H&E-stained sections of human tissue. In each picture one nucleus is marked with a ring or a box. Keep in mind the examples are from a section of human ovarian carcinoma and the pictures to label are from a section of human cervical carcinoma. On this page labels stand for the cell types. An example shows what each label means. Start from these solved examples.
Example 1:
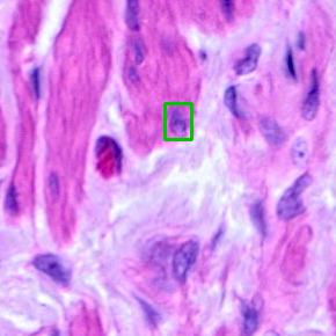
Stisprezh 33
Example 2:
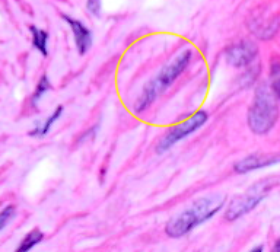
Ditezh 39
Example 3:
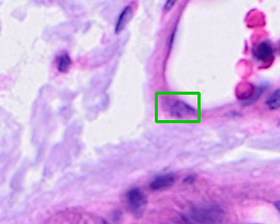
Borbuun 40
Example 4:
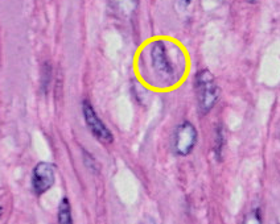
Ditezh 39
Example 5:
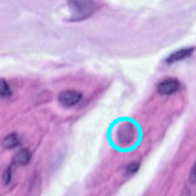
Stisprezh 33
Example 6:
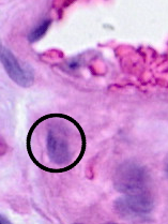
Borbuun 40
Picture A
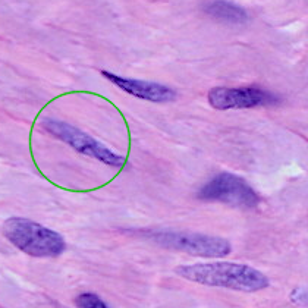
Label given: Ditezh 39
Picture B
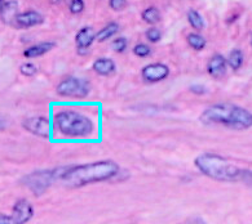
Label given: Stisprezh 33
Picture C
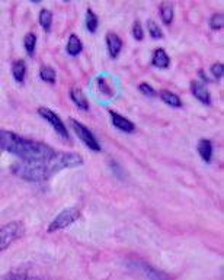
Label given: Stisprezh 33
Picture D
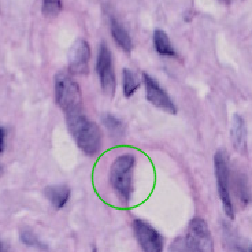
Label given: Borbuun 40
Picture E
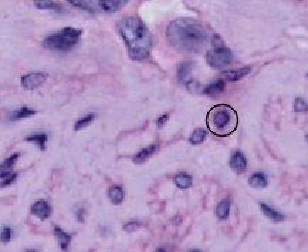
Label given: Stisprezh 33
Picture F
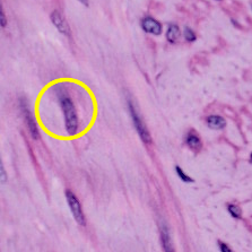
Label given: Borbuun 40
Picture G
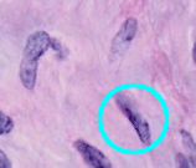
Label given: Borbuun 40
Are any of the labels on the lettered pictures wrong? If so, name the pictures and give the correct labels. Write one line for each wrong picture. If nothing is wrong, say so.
F should be Stisprezh 33, not Borbuun 40
G should be Ditezh 39, not Borbuun 40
